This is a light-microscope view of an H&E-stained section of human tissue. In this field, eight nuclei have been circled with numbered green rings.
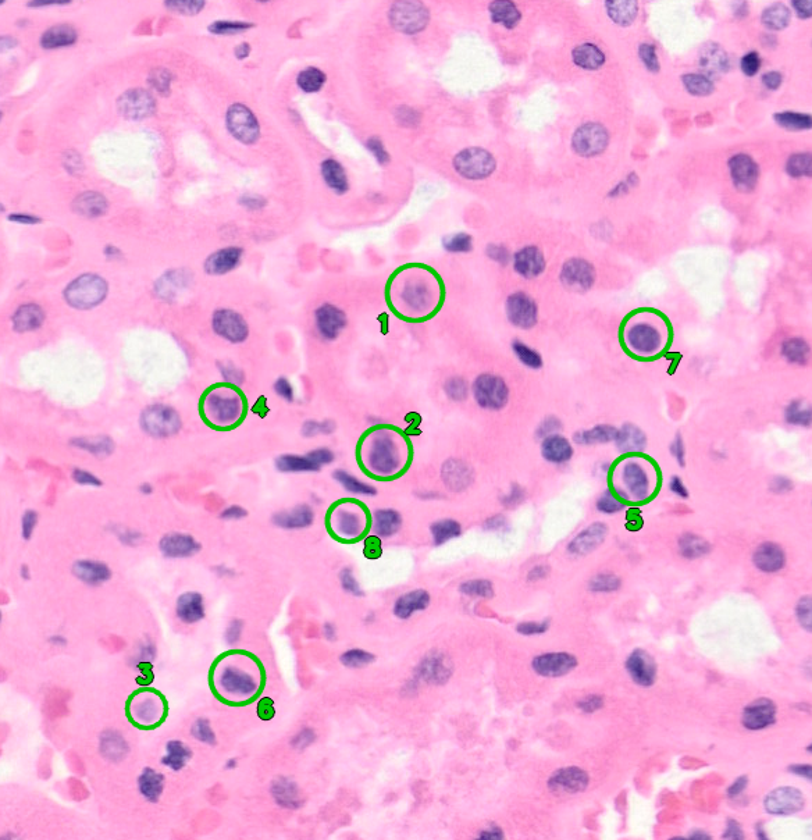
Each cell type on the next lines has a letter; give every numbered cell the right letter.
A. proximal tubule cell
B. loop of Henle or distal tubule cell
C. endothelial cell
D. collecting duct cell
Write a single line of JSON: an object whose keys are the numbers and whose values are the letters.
{"1": "A", "2": "A", "3": "B", "4": "A", "5": "D", "6": "B", "7": "A", "8": "B"}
